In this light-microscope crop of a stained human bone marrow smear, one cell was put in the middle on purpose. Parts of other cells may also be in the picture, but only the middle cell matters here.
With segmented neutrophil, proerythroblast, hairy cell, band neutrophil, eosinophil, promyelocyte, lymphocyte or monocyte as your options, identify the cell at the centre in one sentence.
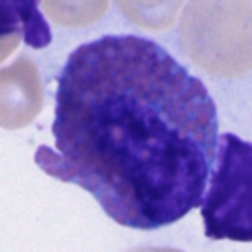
In this smear crop, the middle cell is an eosinophil.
